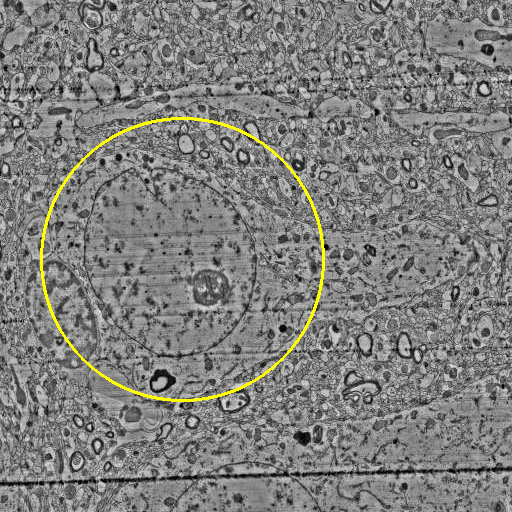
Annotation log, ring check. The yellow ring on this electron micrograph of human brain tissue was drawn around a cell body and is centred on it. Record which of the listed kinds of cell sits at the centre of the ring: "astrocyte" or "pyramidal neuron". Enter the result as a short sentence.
The cell at the centre of the ring is a pyramidal neuron.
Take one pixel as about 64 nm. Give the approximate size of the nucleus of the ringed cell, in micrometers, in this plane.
In this plane the nucleus is about 13 micrometres by 11.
